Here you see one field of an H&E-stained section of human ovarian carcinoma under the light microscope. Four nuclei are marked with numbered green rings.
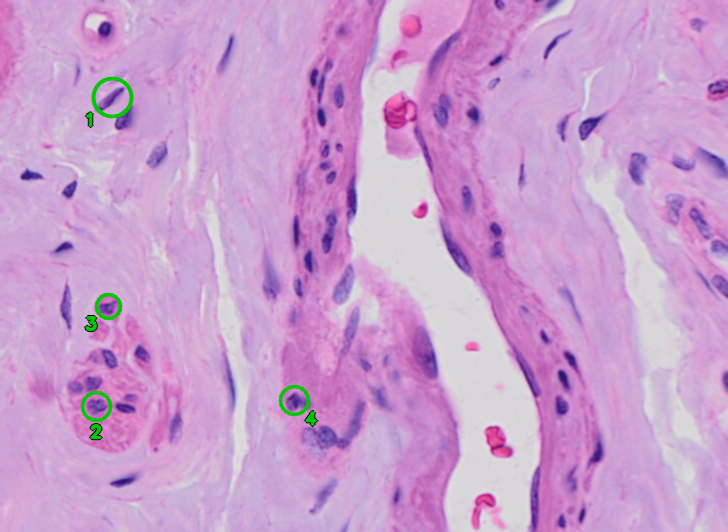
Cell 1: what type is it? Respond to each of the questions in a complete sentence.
What the number 1 marks in this field is a fibroblast.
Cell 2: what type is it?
To a smooth muscle cell belongs the nucleus marked 2.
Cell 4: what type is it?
In the tissue shown, cell 4 is a smooth muscle cell.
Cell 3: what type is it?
Marked with the number 3, this cell is a smooth muscle cell.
